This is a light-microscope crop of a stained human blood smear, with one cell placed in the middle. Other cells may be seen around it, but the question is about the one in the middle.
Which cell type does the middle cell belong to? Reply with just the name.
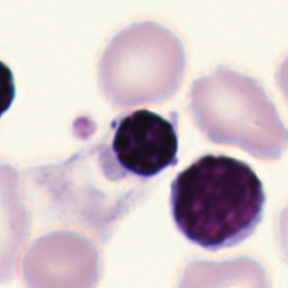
erythroblast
